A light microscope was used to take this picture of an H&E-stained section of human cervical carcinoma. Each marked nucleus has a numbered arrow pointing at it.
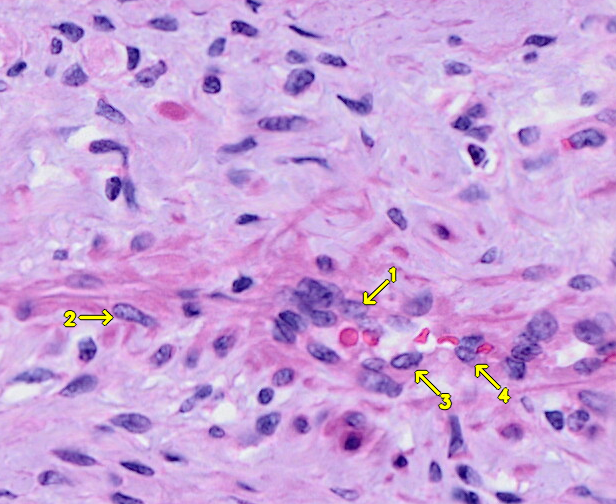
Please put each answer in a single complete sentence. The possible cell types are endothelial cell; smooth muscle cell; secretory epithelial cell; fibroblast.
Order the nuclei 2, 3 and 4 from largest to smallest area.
The nuclei rank 2, 3, 4, from largest to smallest.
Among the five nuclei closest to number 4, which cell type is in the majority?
Around number 4, most of the five nearest nuclei are those of endothelial cells.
